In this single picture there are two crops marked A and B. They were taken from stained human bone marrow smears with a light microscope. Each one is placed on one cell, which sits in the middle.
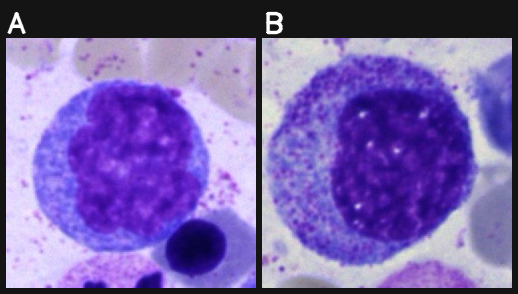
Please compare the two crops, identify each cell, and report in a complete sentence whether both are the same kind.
No, record crop A as a monocyte and crop B as a promyelocyte.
